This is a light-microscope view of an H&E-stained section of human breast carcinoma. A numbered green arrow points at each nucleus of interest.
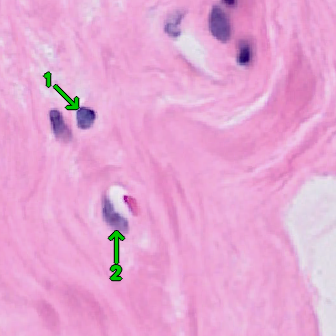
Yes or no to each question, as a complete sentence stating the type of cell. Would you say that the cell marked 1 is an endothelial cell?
No, instead of an endothelial cell, the cell with number 1 is a lymphocyte.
